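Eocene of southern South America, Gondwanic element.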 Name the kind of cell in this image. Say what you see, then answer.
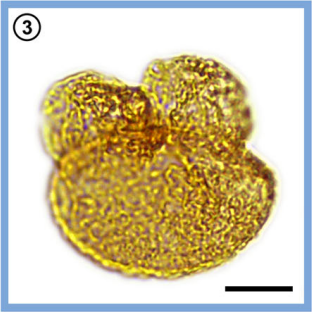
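Podocarpidtes. A central body with air sacs attached. Sacs have a reticulate, patterned surface.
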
